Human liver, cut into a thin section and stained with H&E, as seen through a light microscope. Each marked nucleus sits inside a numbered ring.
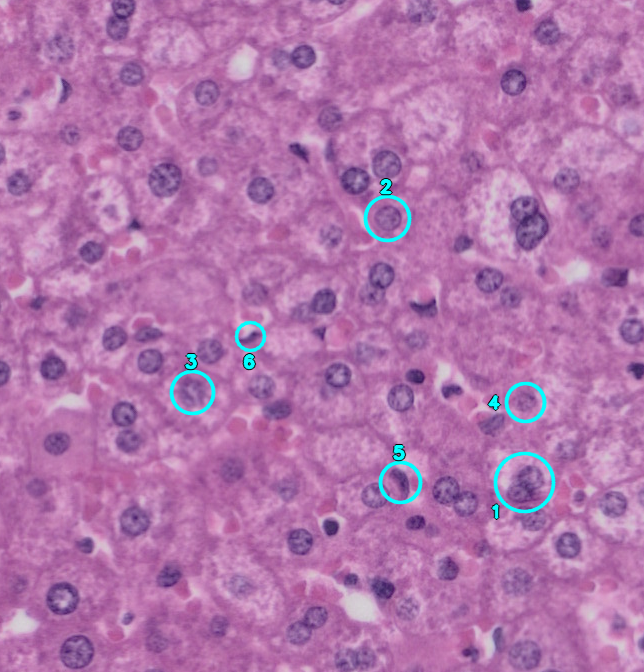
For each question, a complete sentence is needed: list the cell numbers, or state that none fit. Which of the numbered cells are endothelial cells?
Within the section, cells numbered 5 and 6 are endothelial cells.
